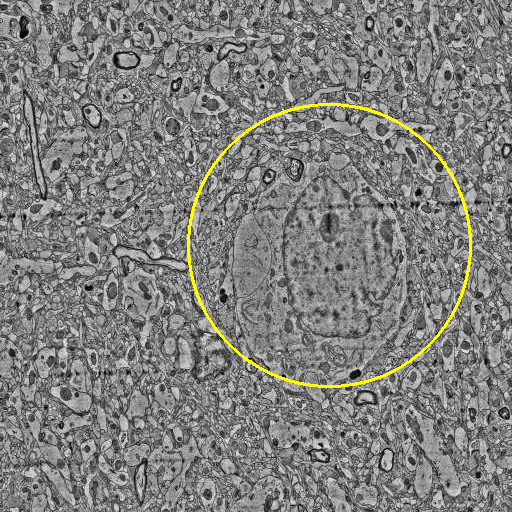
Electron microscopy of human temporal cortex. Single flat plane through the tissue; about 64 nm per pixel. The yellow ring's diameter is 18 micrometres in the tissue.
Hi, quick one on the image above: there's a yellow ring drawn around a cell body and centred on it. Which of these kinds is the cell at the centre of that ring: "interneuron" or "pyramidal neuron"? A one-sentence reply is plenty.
The cell at the centre of the ring is an interneuron.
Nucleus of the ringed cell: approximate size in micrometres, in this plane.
In this plane the nucleus measures roughly 10 by 7 micrometres.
